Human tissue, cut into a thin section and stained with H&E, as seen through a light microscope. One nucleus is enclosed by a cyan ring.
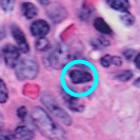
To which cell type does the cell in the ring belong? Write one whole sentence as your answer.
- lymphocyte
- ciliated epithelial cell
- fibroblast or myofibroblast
Students should answer that the cell in the ring is a lymphocyte.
